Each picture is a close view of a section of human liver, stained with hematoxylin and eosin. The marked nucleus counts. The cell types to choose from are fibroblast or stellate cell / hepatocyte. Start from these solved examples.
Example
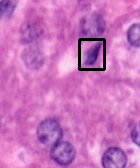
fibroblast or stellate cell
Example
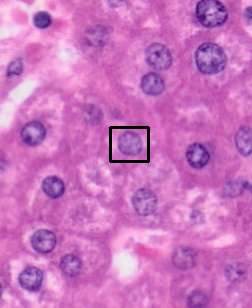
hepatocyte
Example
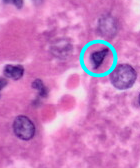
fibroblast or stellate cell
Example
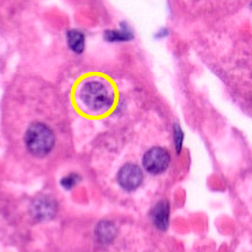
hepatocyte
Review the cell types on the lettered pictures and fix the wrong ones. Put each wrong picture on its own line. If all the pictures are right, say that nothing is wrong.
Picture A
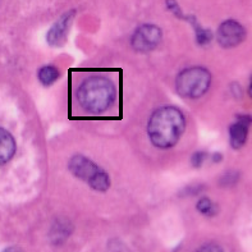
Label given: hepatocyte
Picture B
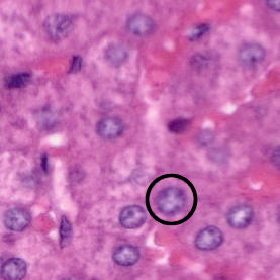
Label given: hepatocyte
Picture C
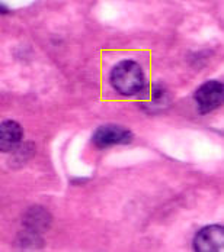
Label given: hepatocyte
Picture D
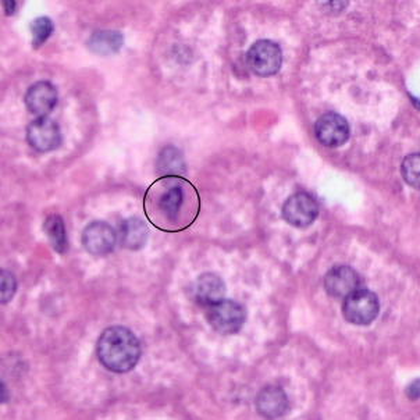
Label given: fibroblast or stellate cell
Every label is right.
